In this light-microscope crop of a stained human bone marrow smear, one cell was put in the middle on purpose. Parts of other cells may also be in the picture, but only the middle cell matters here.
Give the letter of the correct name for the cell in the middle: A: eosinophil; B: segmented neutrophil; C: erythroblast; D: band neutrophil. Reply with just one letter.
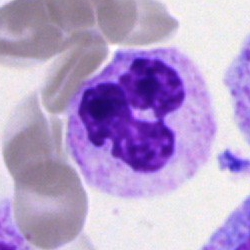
B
